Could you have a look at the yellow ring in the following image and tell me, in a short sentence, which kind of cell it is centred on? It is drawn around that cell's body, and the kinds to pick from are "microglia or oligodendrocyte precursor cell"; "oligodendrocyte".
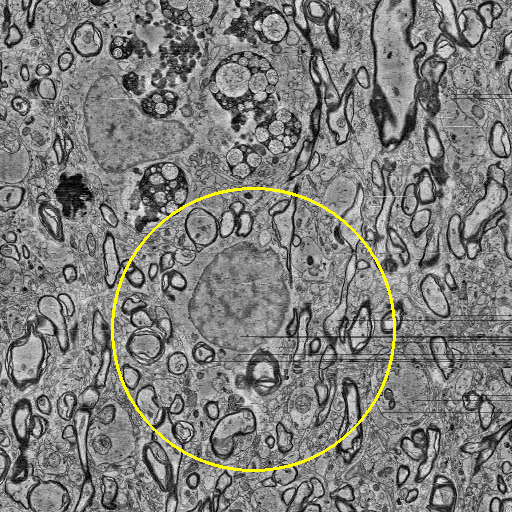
The ring is centred on the body of an oligodendrocyte.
